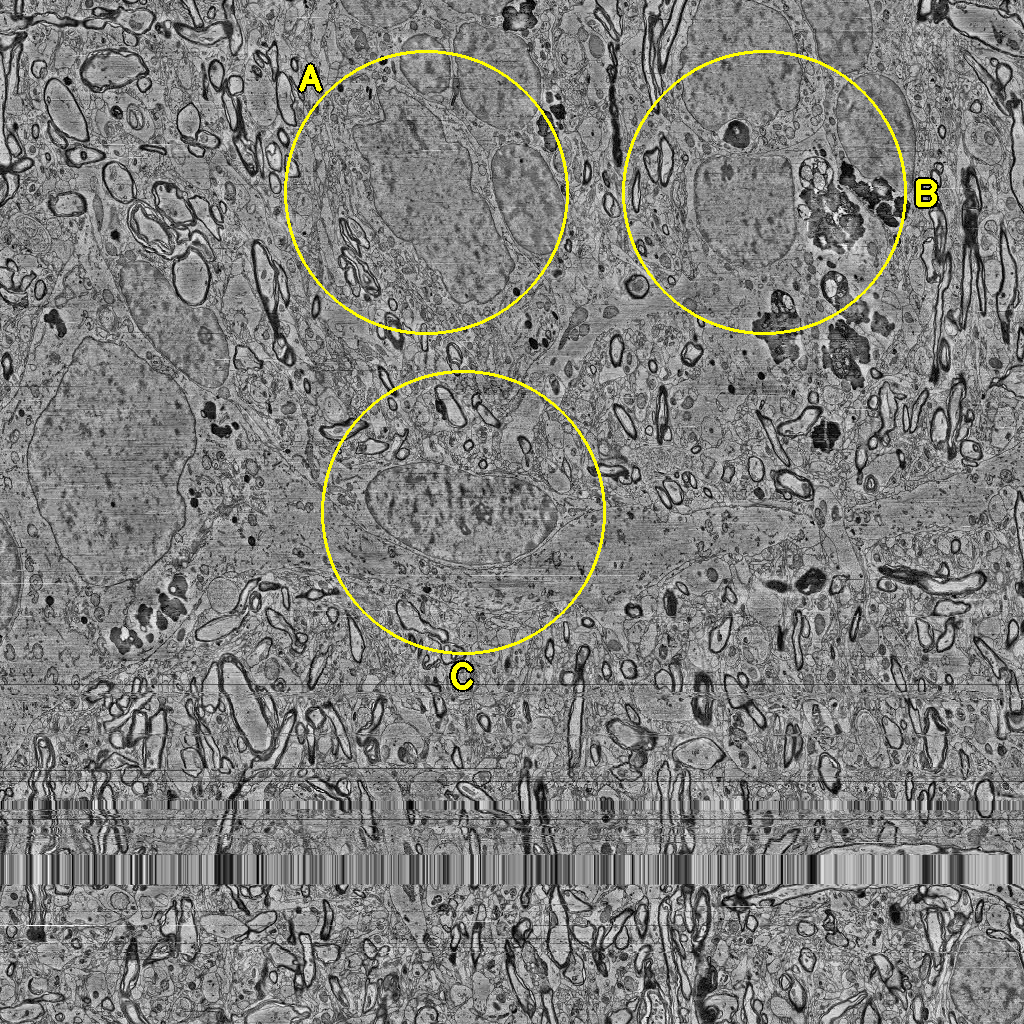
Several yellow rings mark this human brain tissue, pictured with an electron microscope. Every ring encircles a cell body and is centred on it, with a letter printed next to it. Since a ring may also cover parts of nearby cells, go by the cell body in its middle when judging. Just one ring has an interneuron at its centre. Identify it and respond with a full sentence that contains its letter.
The answer is ring A, whose centre rests on the cell asked for.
